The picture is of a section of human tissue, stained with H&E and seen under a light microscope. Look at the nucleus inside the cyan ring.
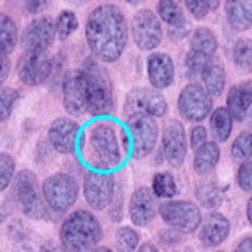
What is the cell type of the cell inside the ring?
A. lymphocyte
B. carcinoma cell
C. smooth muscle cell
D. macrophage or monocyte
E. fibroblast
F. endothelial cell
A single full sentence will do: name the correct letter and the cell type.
Answer with option B; the cell inside the ring is a carcinoma cell.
